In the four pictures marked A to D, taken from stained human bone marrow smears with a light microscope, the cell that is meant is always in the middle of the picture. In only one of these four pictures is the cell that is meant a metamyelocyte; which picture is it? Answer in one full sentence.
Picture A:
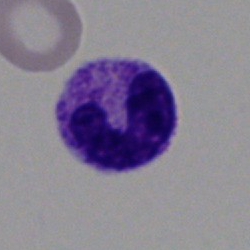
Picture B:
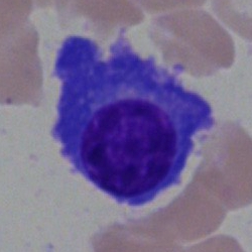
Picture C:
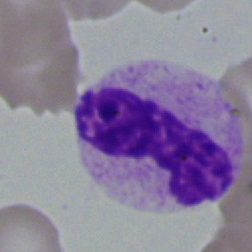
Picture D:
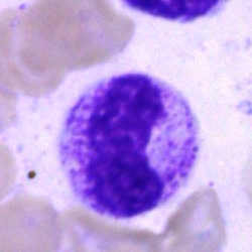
The cell in picture D is the metamyelocyte.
